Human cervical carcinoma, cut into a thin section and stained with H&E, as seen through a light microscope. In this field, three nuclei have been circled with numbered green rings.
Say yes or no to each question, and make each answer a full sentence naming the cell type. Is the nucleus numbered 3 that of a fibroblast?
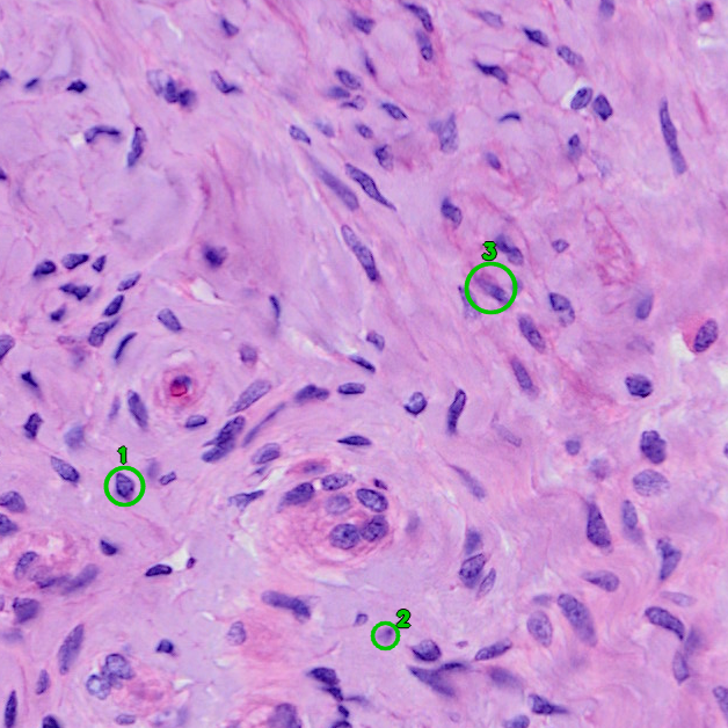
No, cell 3 is not a fibroblast; a smooth muscle cell is the correct identification.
